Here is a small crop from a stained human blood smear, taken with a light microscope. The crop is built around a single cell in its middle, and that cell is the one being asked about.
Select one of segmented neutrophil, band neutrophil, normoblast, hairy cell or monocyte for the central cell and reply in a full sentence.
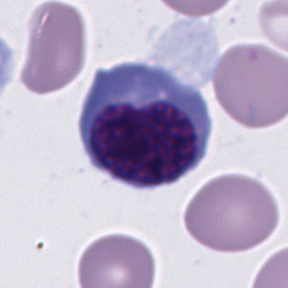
The cell around which this crop is centred is a normoblast.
